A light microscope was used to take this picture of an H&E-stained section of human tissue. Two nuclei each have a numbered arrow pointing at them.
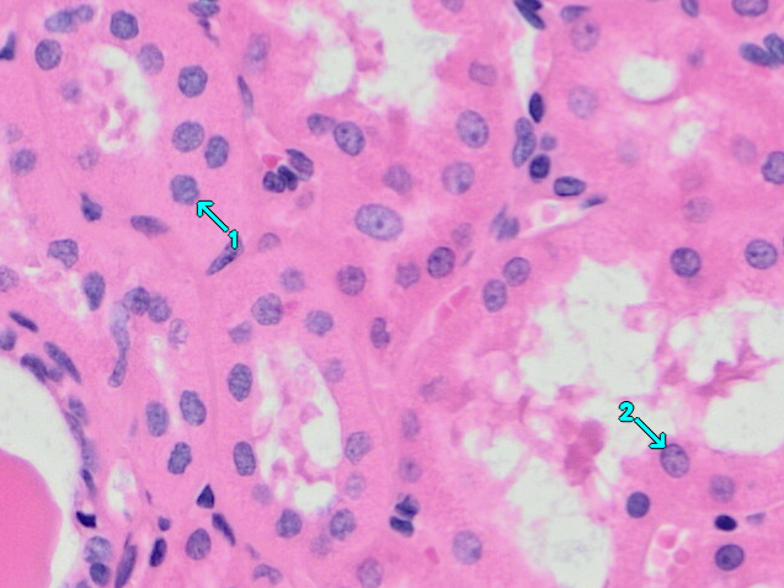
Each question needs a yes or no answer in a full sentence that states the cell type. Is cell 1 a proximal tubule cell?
No, as for cell 1, it is a loop of Henle or distal tubule cell and not a proximal tubule cell.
